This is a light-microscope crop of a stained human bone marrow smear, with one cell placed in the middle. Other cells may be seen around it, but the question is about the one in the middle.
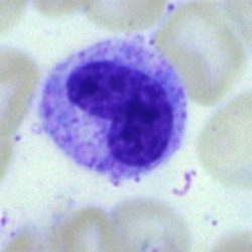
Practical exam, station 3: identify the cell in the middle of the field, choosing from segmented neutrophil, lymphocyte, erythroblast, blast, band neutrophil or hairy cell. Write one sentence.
The cell the crop is centered on is a band neutrophil.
